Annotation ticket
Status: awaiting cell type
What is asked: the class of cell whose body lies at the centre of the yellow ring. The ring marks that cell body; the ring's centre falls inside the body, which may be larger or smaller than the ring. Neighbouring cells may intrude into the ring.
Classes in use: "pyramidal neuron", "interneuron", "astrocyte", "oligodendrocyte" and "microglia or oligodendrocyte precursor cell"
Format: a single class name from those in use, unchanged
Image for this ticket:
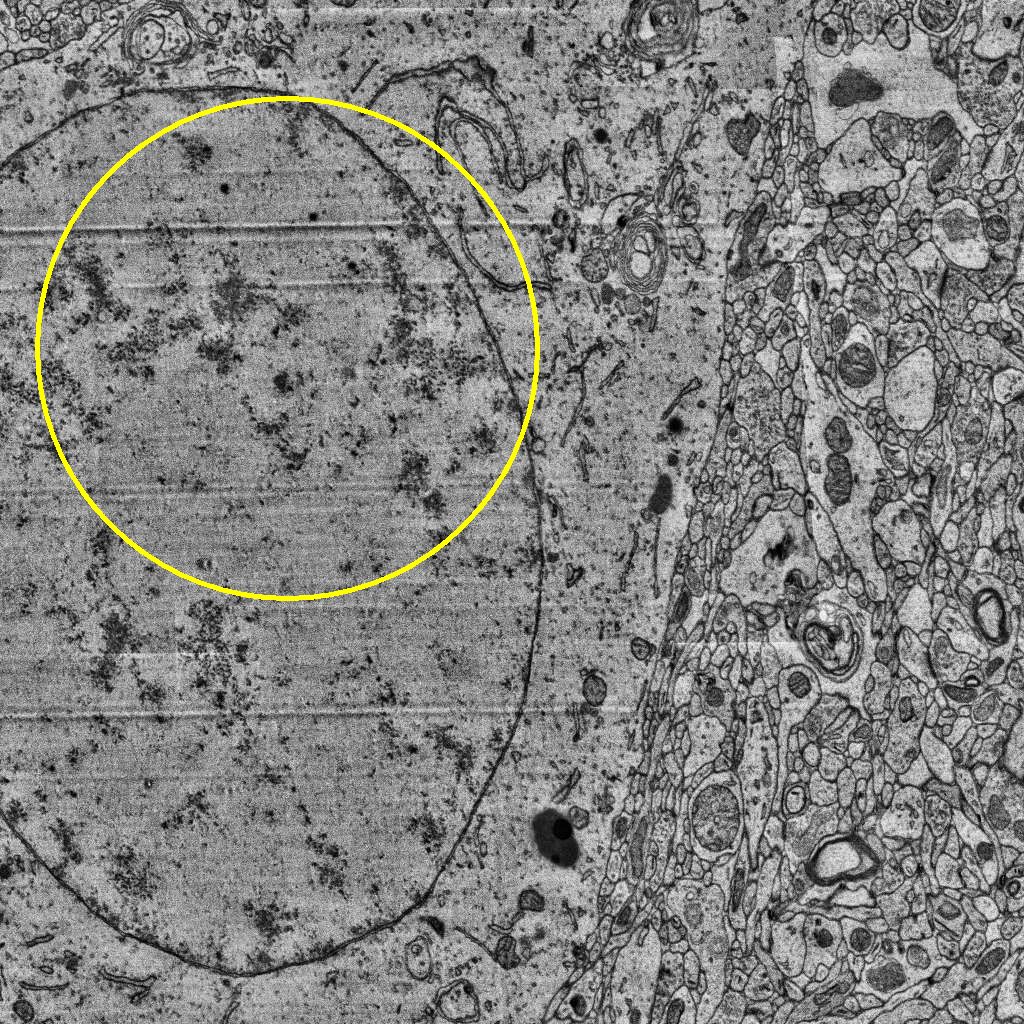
pyramidal neuron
